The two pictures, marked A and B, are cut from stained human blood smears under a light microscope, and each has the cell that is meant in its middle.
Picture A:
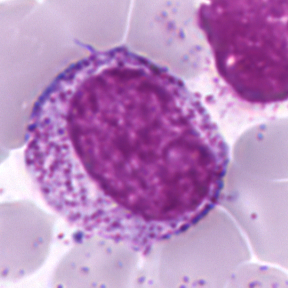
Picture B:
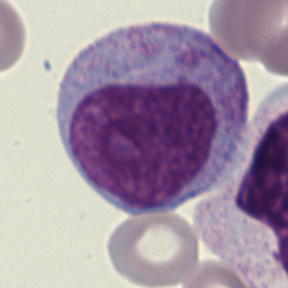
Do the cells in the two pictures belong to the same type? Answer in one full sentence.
No, picture A shows a myelocyte and picture B shows a promyelocyte.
